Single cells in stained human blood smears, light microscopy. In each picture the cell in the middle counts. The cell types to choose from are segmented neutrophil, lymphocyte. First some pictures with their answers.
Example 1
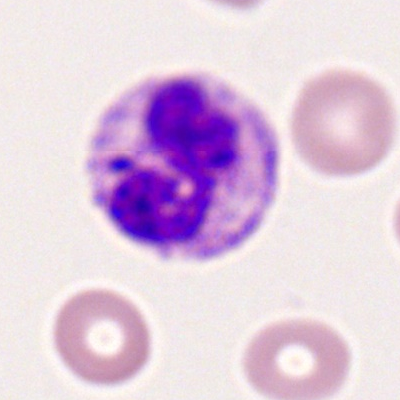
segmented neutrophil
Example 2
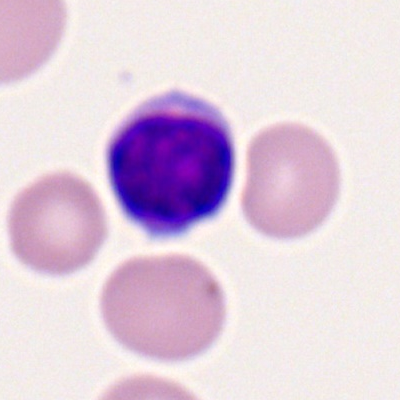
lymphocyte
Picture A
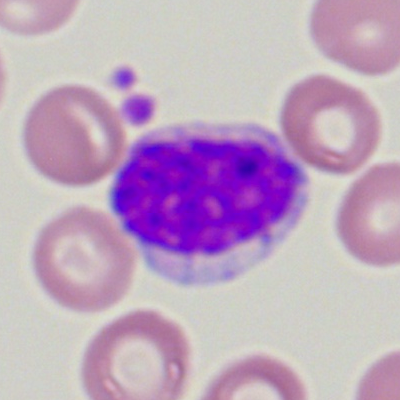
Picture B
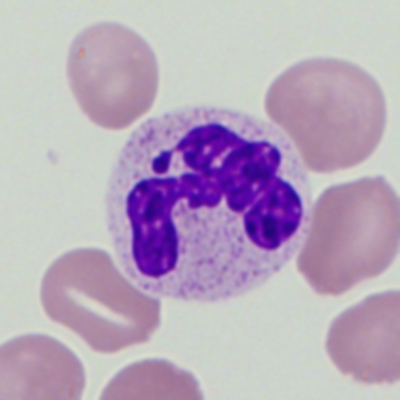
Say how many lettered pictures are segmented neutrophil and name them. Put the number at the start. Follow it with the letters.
1, namely B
